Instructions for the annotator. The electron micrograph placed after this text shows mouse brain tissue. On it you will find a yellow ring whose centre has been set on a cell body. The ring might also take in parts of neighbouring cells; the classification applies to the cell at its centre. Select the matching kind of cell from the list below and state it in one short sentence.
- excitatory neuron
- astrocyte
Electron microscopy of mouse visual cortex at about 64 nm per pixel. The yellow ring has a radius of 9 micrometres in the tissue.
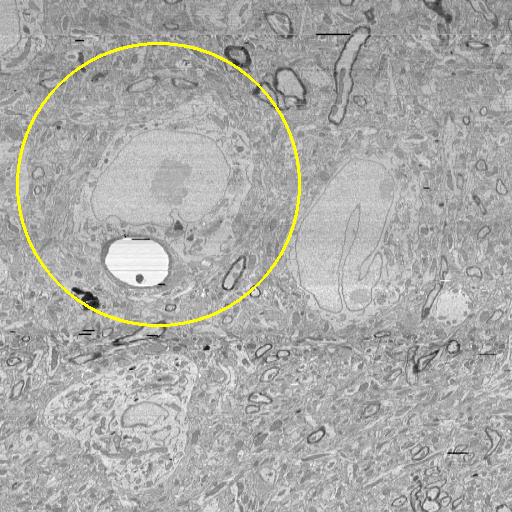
The ring is drawn on the cell body of an excitatory neuron.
